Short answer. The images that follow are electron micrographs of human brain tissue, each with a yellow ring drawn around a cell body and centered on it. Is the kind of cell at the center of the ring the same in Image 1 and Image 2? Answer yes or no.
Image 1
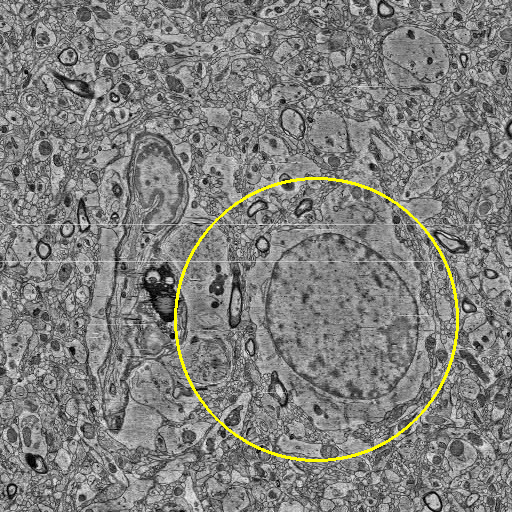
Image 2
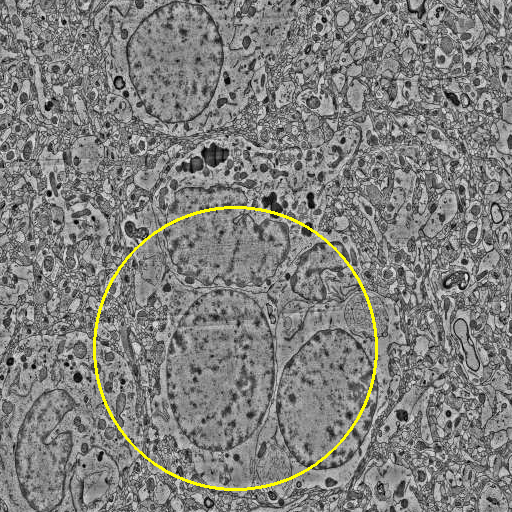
yes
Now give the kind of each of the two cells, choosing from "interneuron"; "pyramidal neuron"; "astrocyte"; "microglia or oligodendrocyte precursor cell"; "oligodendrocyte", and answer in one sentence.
The first and the second cell are each an astrocyte.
